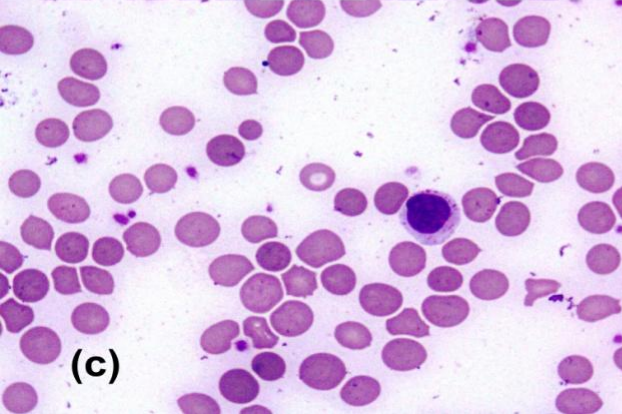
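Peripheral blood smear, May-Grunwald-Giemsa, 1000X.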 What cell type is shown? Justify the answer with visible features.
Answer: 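Lymphocytes. A single nucleated cell lies among red cells. It has a round dark purple nucleus with condensed chromatin. A rim of pale cytoplasm surrounds the nucleus.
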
